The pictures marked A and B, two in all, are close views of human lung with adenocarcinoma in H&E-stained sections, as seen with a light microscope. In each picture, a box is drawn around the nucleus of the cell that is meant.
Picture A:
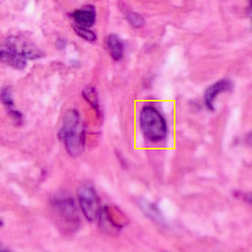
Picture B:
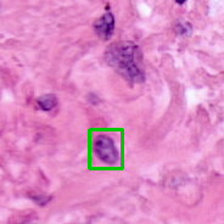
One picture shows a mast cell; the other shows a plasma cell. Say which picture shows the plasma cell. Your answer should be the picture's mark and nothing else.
A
